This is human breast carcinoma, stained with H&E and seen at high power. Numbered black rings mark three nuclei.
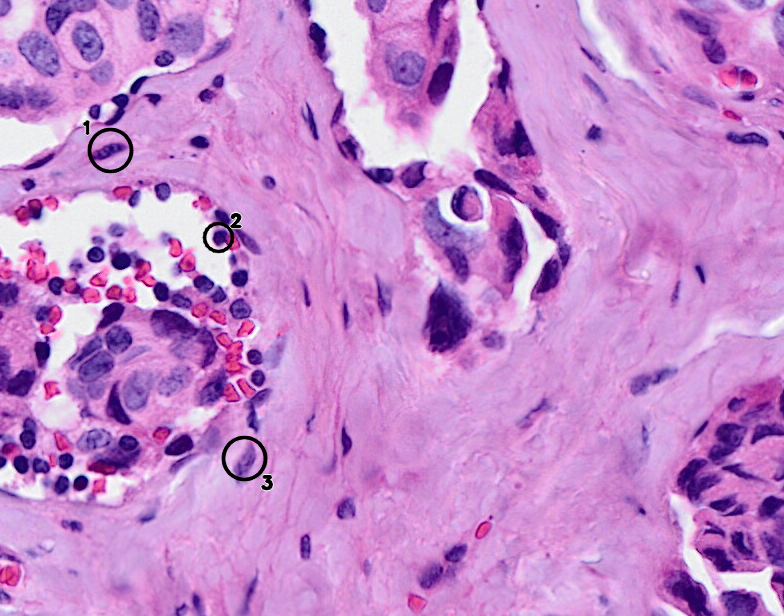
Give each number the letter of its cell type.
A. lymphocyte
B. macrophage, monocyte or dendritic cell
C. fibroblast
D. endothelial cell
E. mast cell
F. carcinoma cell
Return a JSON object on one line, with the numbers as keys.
{"1": "E", "2": "A", "3": "C"}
